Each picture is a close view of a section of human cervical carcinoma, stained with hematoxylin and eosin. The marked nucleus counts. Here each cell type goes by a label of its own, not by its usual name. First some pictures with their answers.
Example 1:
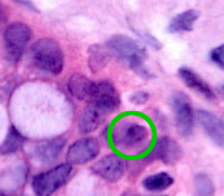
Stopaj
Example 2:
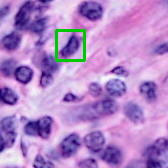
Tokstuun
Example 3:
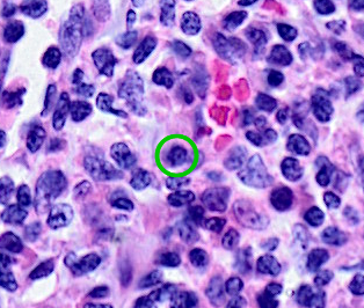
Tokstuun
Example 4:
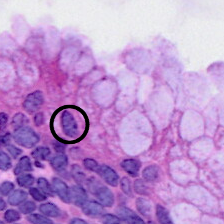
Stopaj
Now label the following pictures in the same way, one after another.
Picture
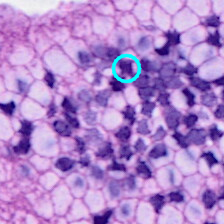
Stopaj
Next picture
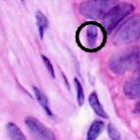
Stopaj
